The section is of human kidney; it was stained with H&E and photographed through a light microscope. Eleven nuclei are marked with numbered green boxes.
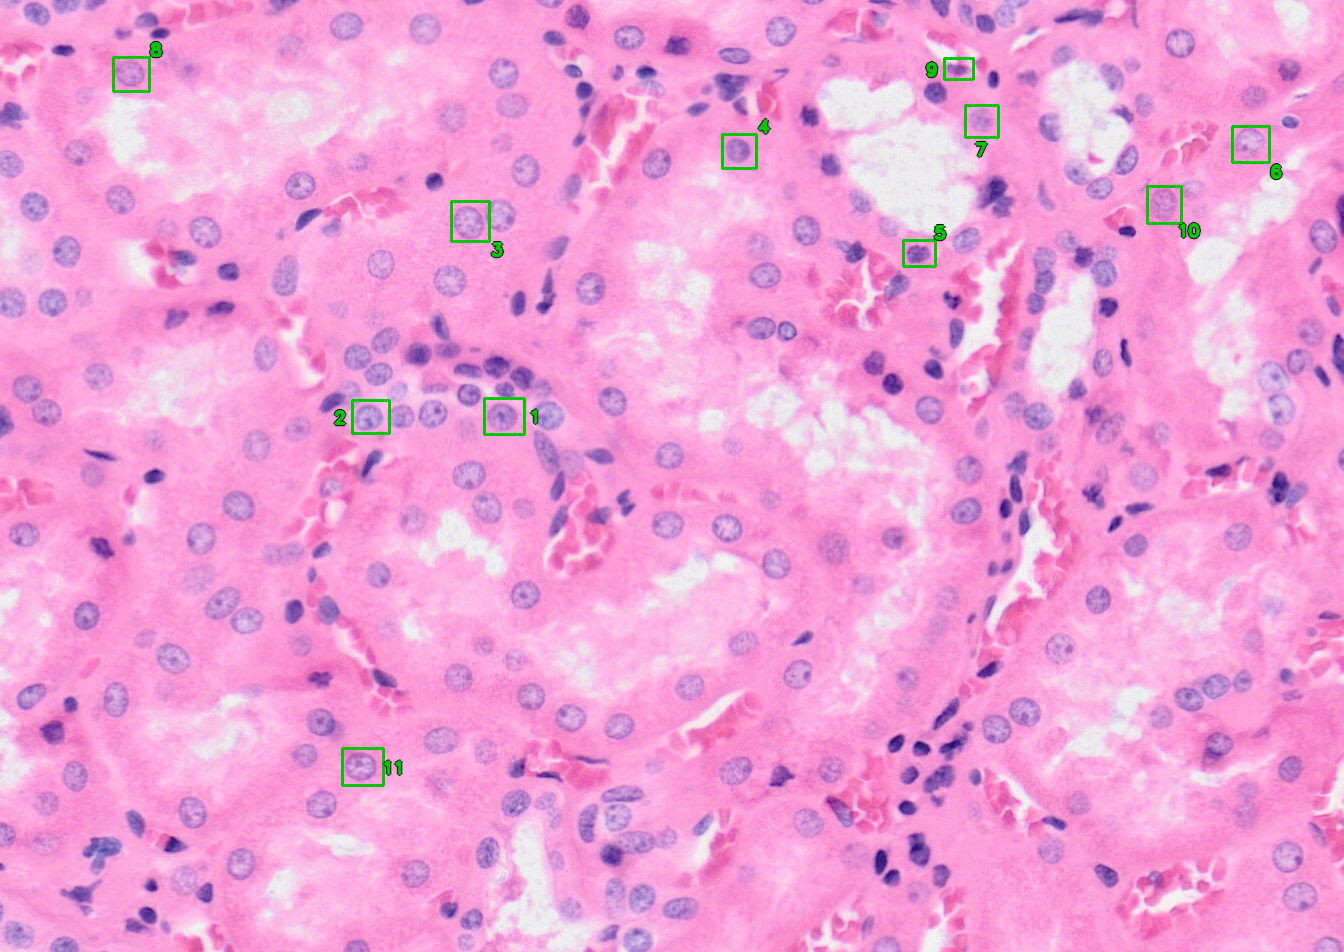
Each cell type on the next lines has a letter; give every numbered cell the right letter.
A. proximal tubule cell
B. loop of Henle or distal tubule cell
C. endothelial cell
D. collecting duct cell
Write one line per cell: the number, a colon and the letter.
1: D
2: D
3: A
4: A
5: B
6: A
7: B
8: A
9: C
10: A
11: A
